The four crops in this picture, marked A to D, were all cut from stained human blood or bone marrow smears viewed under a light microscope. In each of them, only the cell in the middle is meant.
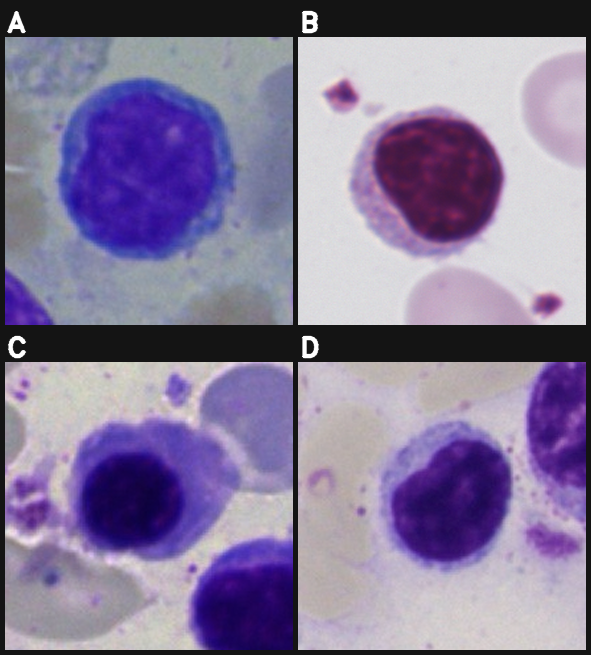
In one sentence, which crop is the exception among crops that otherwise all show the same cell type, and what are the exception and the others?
The single exception among the crops is crop C, which is an erythroblast; the rest show lymphocytes.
